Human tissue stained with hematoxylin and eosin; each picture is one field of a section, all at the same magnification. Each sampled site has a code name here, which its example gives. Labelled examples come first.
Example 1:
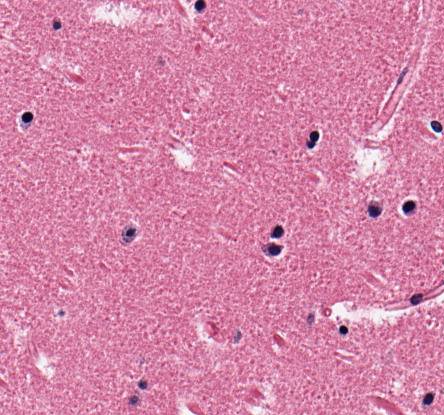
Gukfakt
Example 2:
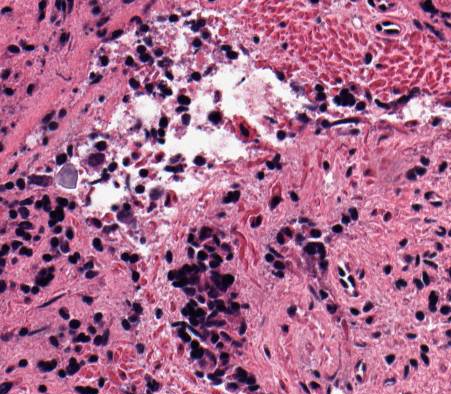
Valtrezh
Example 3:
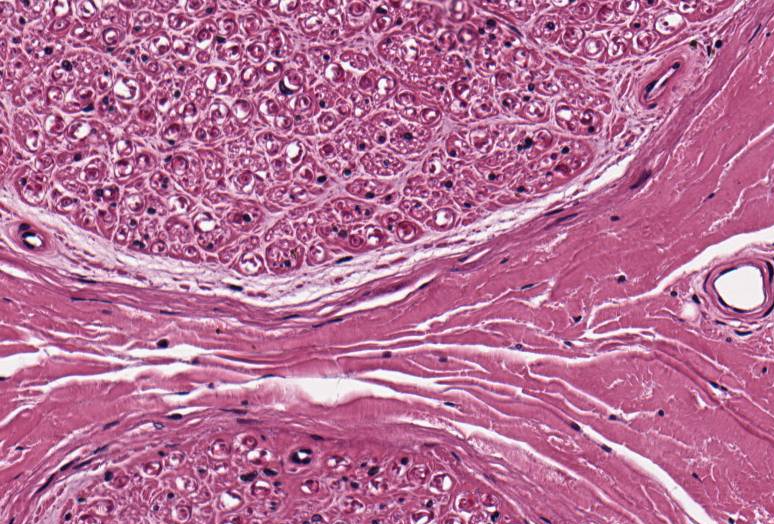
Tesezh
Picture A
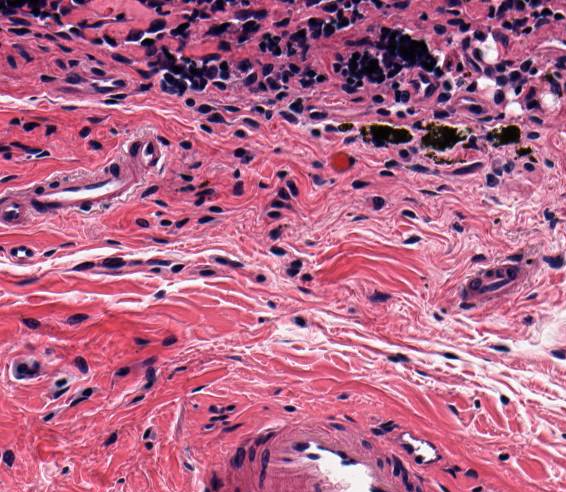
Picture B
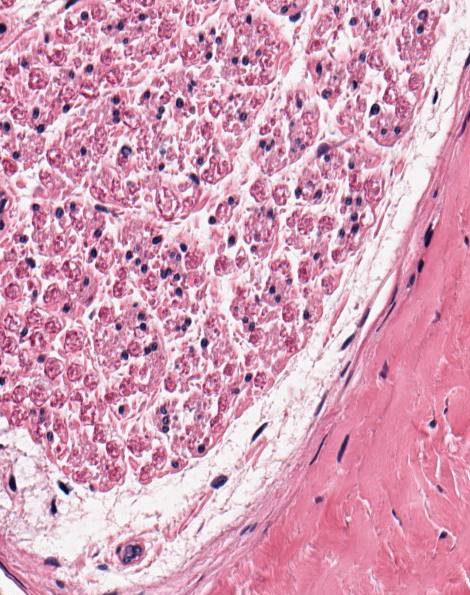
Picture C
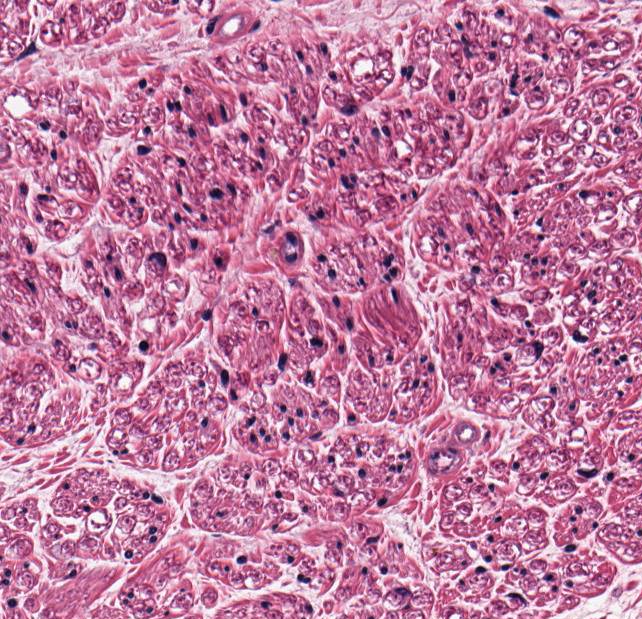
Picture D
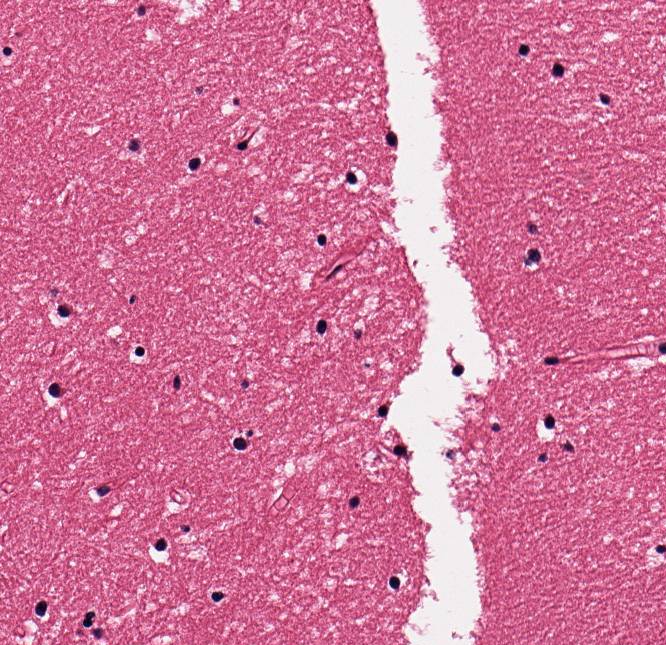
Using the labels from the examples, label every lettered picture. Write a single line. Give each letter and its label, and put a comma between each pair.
A Valtrezh, B Tesezh, C Tesezh, D Gukfakt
